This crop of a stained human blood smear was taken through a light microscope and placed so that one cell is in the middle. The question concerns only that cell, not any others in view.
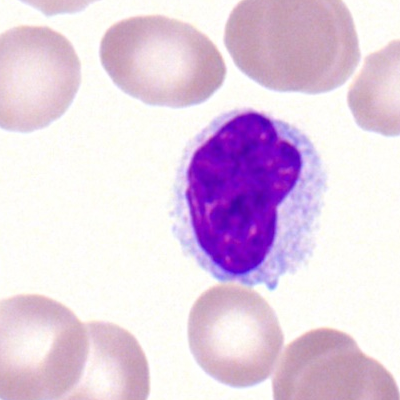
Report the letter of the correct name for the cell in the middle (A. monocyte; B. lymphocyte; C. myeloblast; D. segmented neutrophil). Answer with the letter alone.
B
